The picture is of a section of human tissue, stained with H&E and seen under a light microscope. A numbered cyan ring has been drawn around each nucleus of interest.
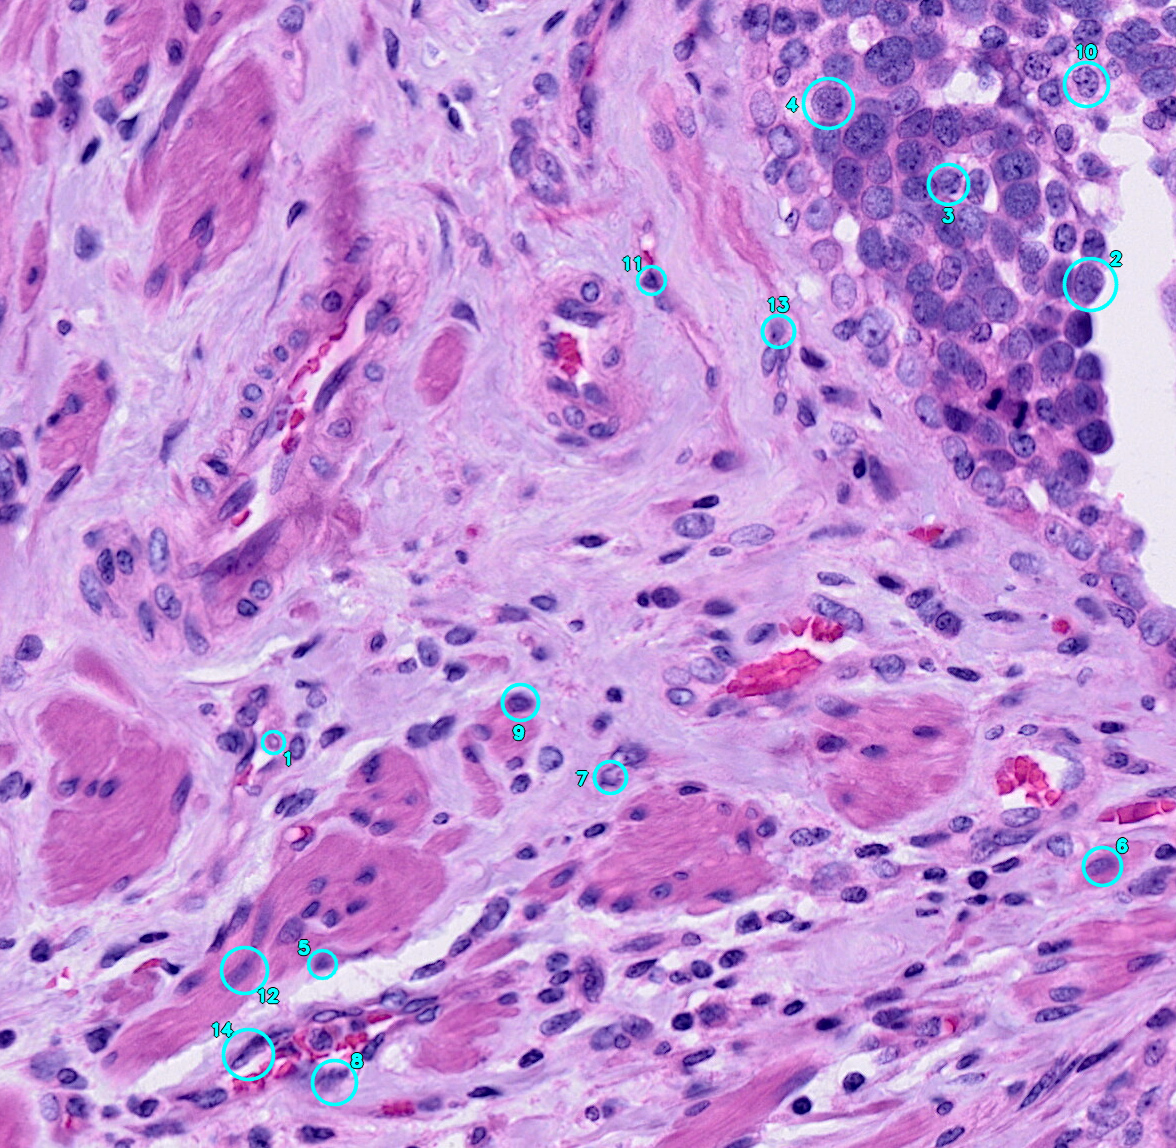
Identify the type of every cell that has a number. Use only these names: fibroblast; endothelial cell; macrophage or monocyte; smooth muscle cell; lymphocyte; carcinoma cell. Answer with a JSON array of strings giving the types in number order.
["endothelial cell", "carcinoma cell", "macrophage or monocyte", "carcinoma cell", "smooth muscle cell", "smooth muscle cell", "endothelial cell", "endothelial cell", "smooth muscle cell", "macrophage or monocyte", "endothelial cell", "smooth muscle cell", "endothelial cell", "endothelial cell"]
